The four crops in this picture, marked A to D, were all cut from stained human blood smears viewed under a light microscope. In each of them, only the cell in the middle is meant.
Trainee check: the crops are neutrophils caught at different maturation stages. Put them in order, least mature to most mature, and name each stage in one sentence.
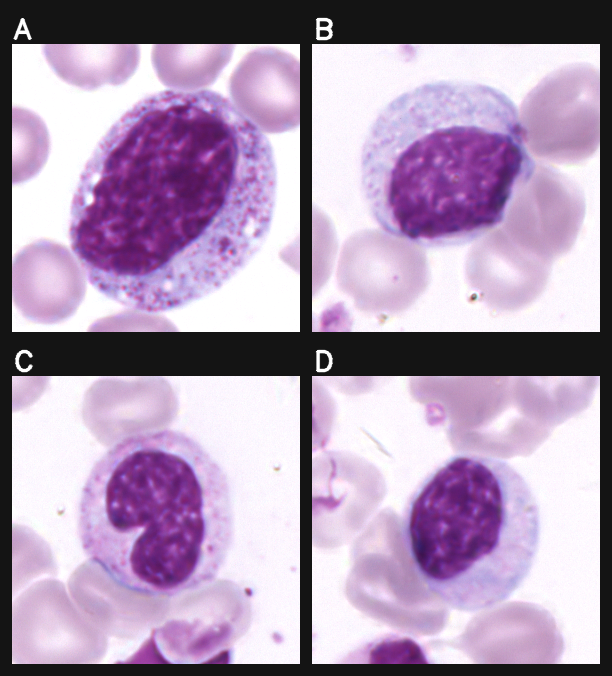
The sequence from earliest to most advanced maturity is crop A (a promyelocyte), crop B (a myelocyte), crop D (a metamyelocyte) and crop C (a band neutrophil).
